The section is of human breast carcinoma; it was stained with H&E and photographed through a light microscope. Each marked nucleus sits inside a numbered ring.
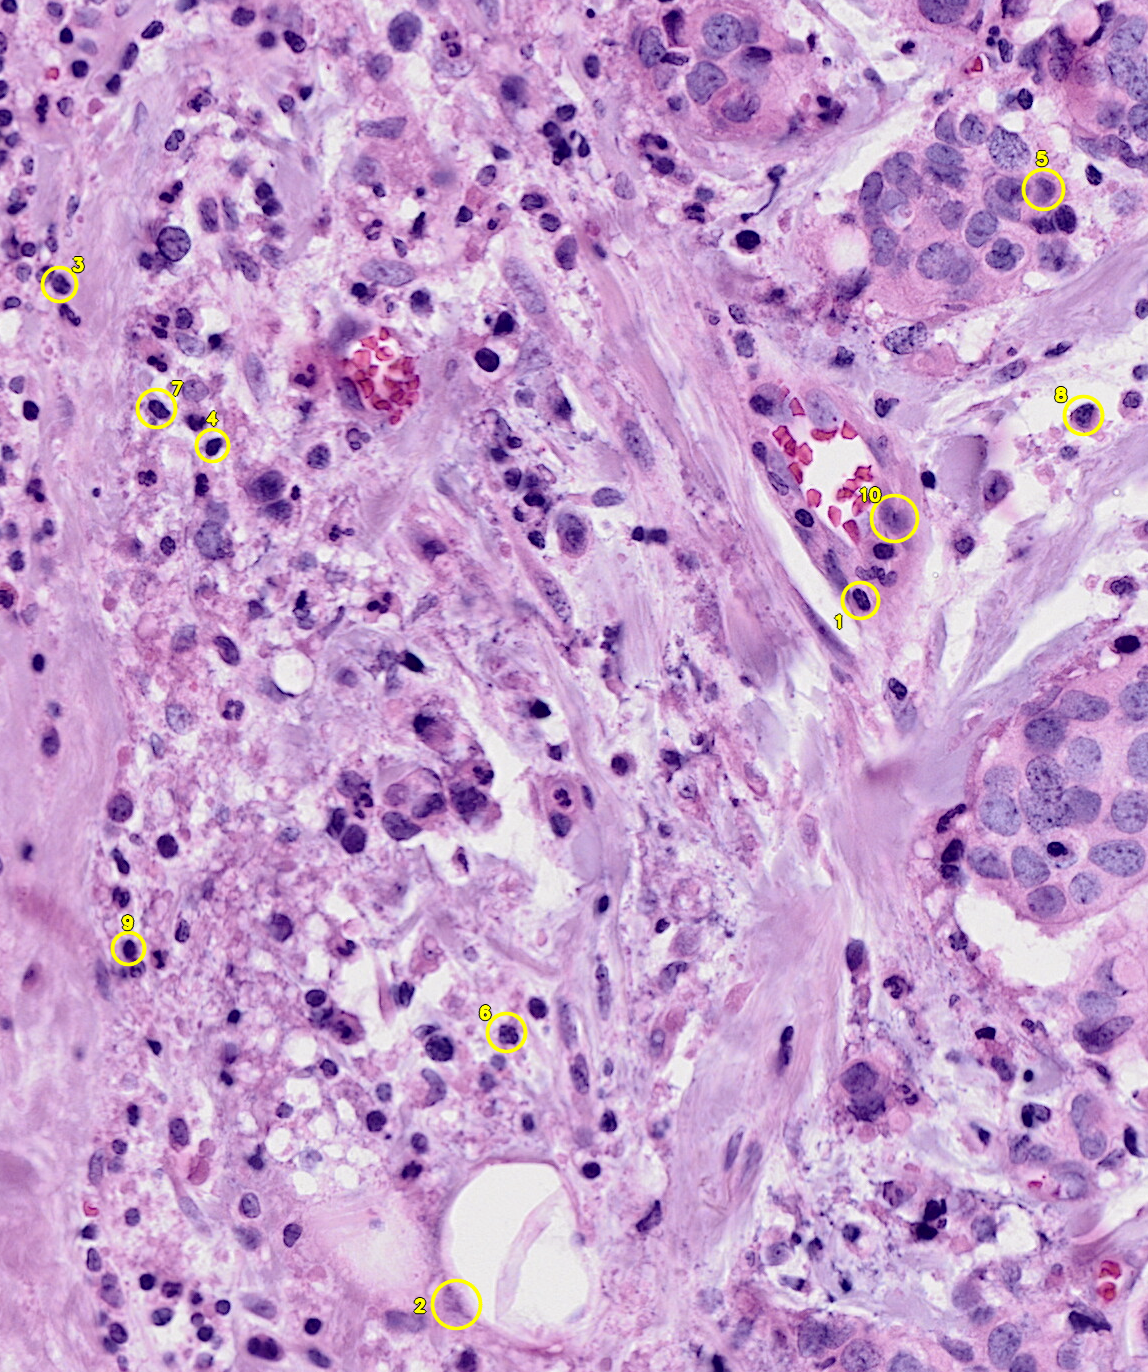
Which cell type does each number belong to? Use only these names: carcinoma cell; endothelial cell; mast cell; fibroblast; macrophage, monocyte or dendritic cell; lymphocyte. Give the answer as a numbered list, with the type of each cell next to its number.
1. lymphocyte
2. fibroblast
3. lymphocyte
4. lymphocyte
5. carcinoma cell
6. lymphocyte
7. lymphocyte
8. mast cell
9. lymphocyte
10. endothelial cell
